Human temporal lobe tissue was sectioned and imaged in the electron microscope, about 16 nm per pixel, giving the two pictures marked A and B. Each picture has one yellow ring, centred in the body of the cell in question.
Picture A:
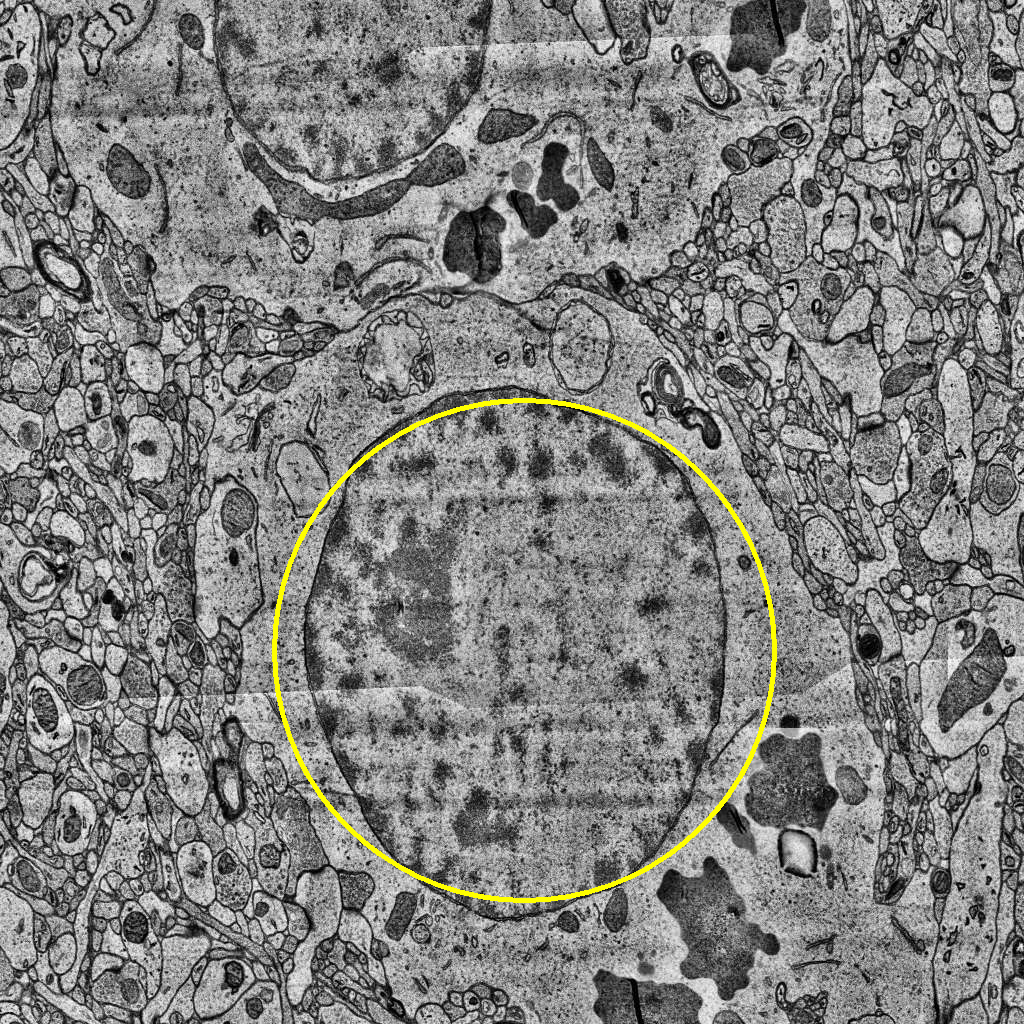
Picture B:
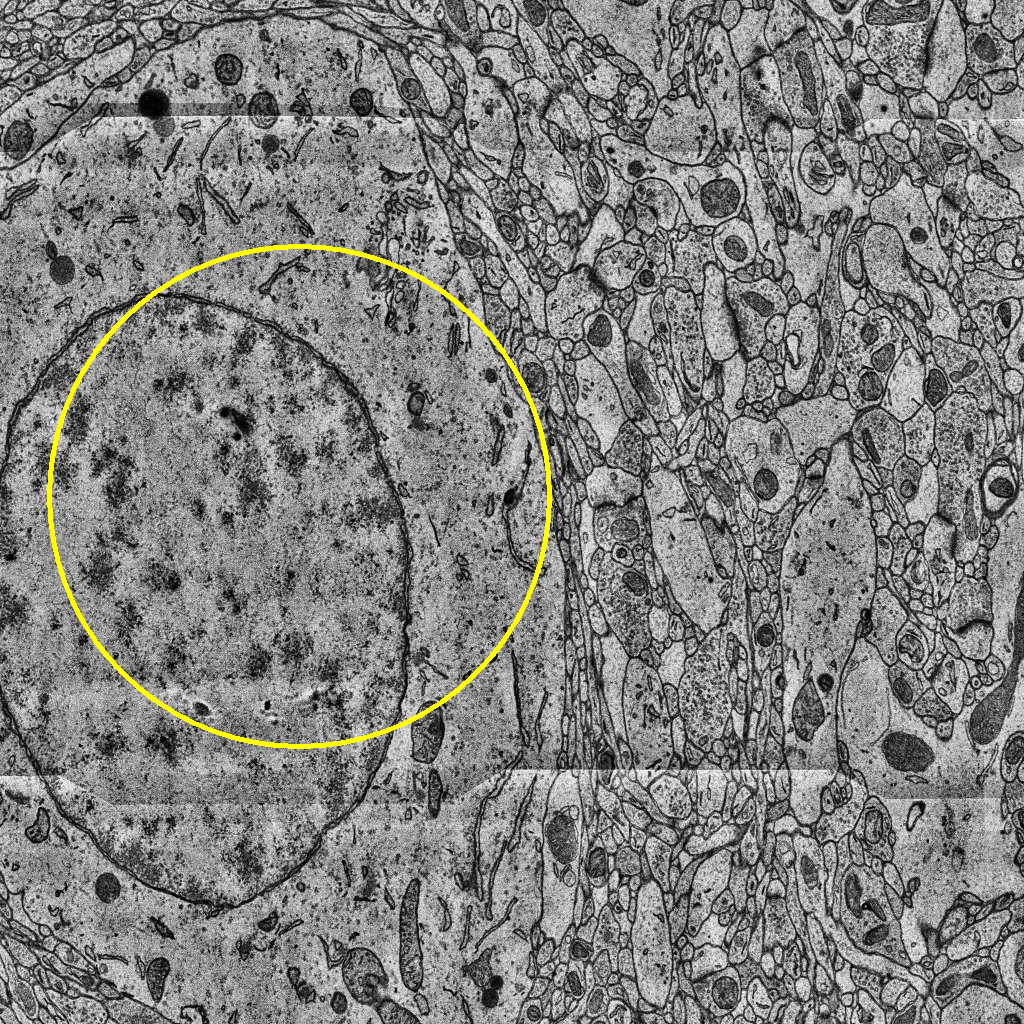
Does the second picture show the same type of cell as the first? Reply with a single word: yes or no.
no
